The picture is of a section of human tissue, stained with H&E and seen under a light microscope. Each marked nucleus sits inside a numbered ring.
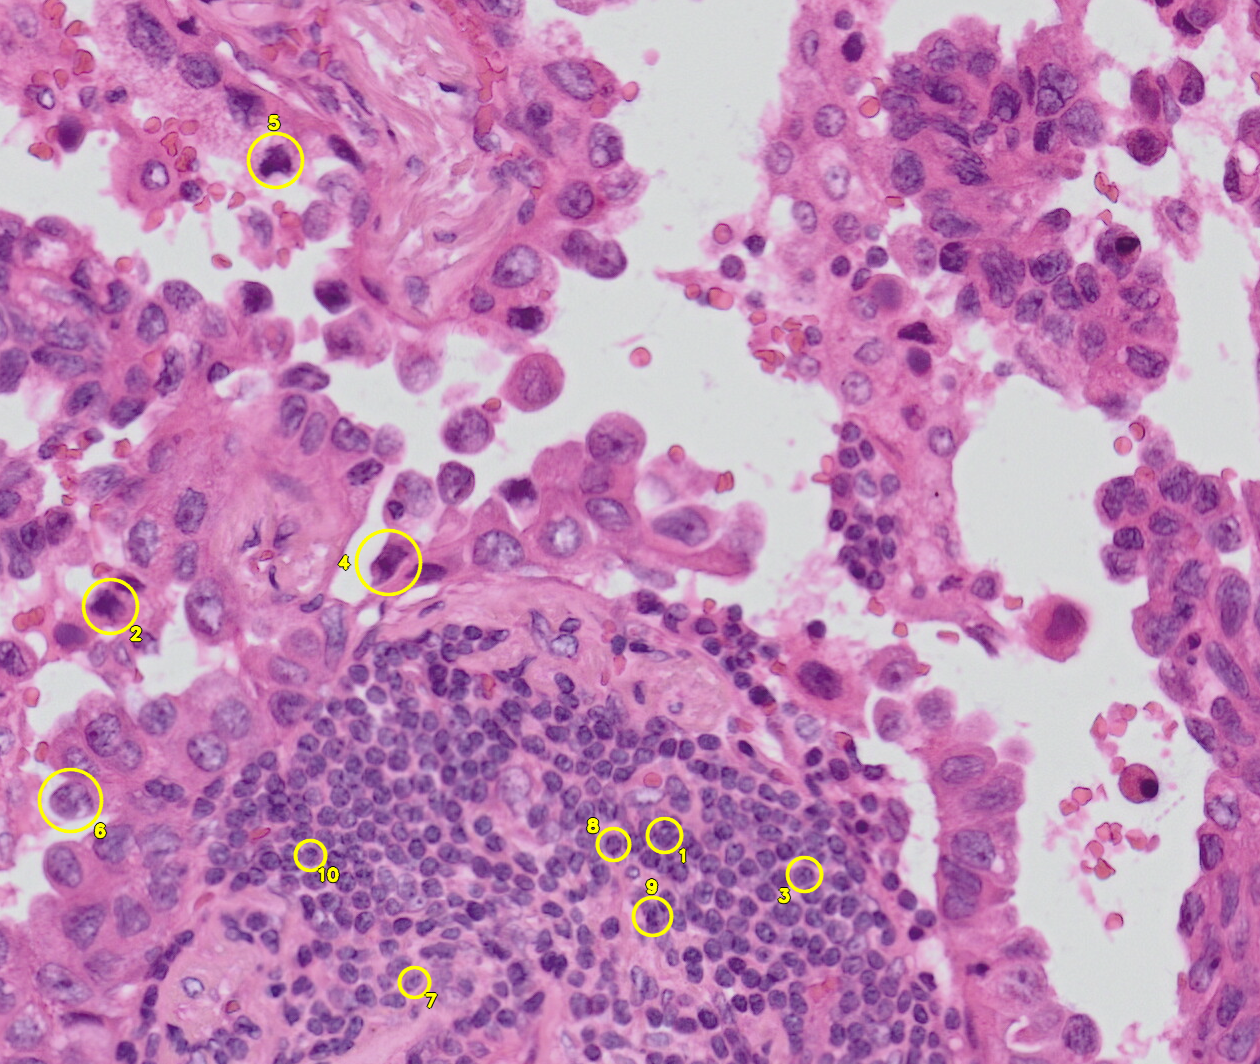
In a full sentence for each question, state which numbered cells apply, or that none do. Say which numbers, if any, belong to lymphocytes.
In this section, the cells numbered 1, 3, 7, 8, 9 and 10 are lymphocytes.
